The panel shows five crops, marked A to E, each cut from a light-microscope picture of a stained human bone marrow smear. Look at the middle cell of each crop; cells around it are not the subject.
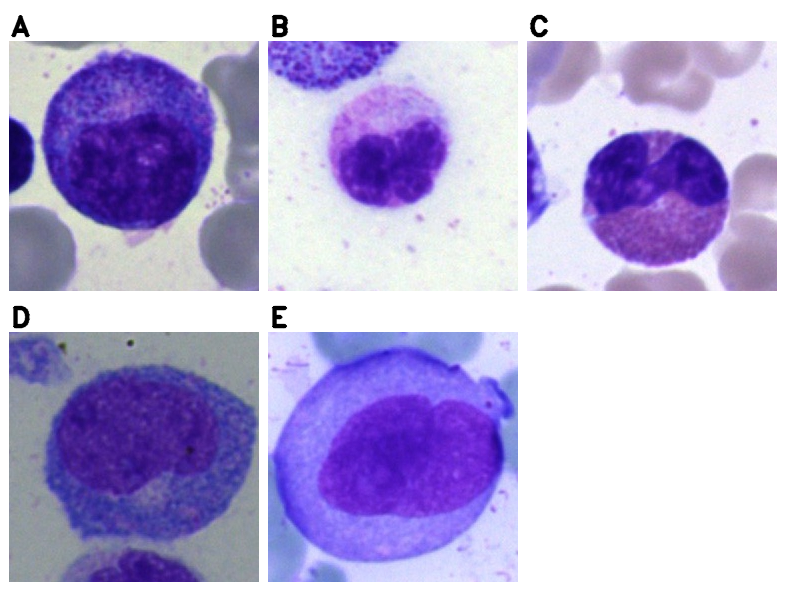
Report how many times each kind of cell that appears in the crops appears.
promyelocyte: 2
basophil: 1
eosinophil: 1
blast: 1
